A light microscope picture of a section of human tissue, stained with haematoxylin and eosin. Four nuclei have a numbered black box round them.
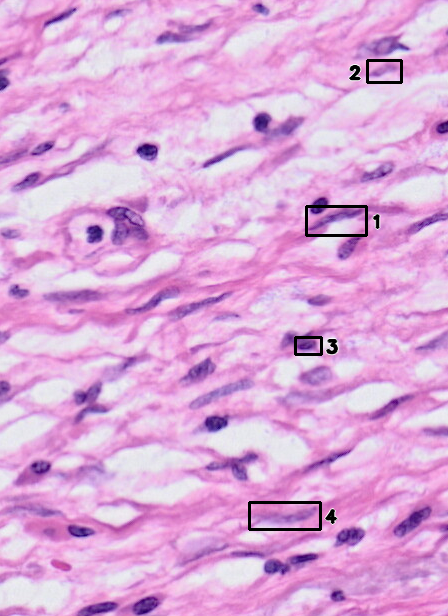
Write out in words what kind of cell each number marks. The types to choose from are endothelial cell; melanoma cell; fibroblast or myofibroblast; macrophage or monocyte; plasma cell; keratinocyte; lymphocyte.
Cells 1, 2 and 4 are fibroblasts or myofibroblasts. Cell 3 is a macrophage or monocyte.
